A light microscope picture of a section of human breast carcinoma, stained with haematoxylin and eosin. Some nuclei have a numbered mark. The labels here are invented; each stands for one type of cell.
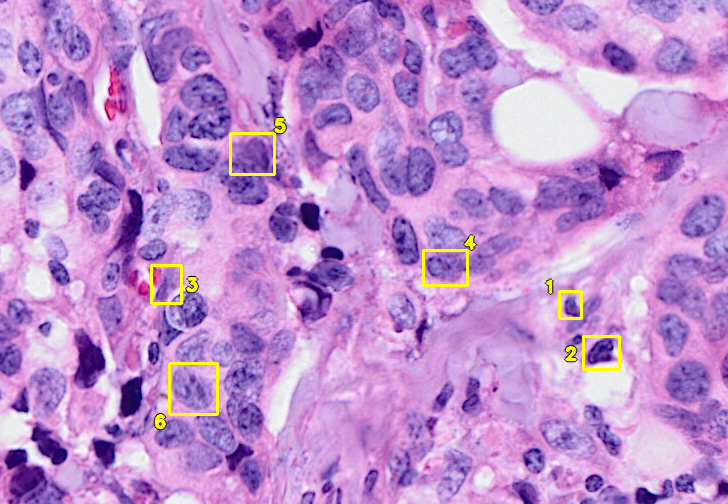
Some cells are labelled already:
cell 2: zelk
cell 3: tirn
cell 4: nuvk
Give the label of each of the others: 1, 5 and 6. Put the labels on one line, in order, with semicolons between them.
zelk; nuvk; nuvk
